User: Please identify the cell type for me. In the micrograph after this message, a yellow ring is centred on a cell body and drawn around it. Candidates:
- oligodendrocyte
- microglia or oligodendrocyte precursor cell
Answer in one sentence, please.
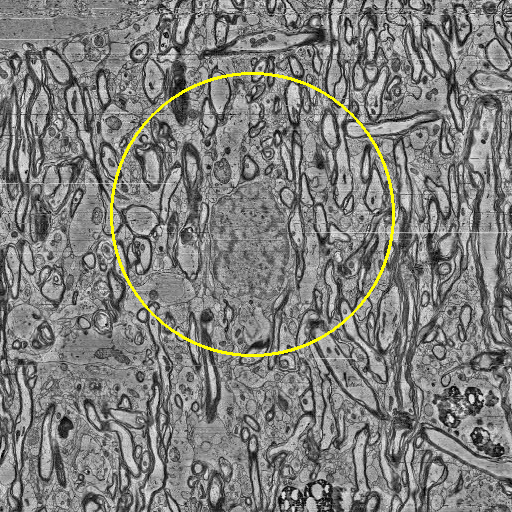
The ring is drawn around the cell body of an oligodendrocyte.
